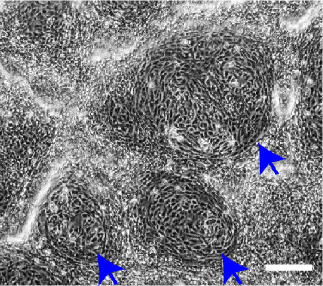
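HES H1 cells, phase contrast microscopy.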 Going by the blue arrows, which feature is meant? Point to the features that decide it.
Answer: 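Rounded clusters of tightly packed elongated cells. That points to this answer: Neural rosettes.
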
